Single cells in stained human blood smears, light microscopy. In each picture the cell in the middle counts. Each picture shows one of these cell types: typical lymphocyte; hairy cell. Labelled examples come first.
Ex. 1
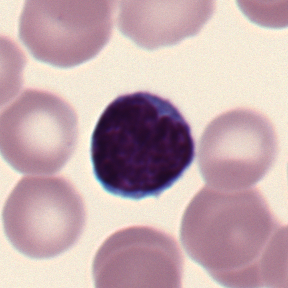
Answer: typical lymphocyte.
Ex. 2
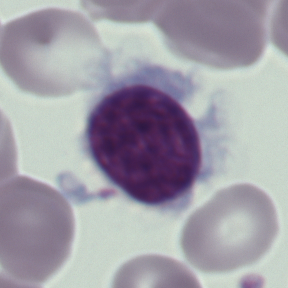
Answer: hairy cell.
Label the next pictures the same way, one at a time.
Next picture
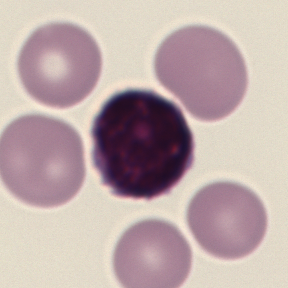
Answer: typical lymphocyte.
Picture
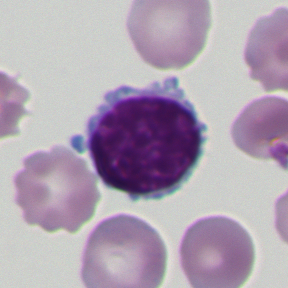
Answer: typical lymphocyte.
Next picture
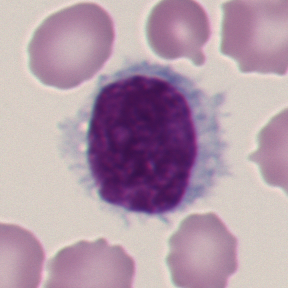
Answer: hairy cell.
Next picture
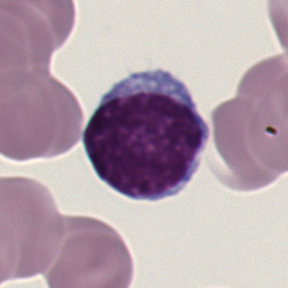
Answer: typical lymphocyte.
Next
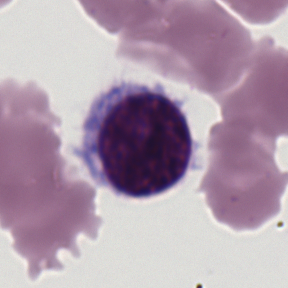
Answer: hairy cell.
